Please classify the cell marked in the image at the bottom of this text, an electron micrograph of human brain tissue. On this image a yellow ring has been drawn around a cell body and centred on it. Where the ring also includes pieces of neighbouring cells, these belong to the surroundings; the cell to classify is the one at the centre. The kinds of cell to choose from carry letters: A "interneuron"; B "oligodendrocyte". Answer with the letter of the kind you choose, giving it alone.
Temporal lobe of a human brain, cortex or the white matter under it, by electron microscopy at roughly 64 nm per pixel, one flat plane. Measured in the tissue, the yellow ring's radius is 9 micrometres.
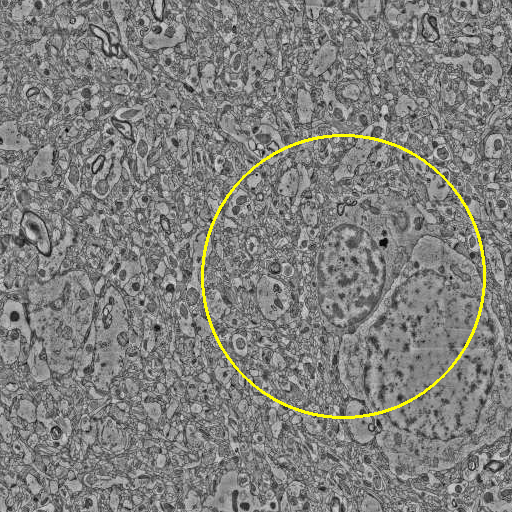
B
